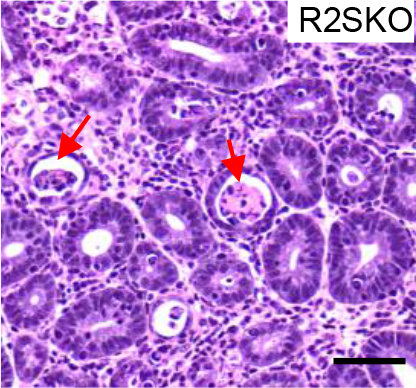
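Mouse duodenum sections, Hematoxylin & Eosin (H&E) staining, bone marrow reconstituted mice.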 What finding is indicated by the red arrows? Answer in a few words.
Crypt abscesses.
